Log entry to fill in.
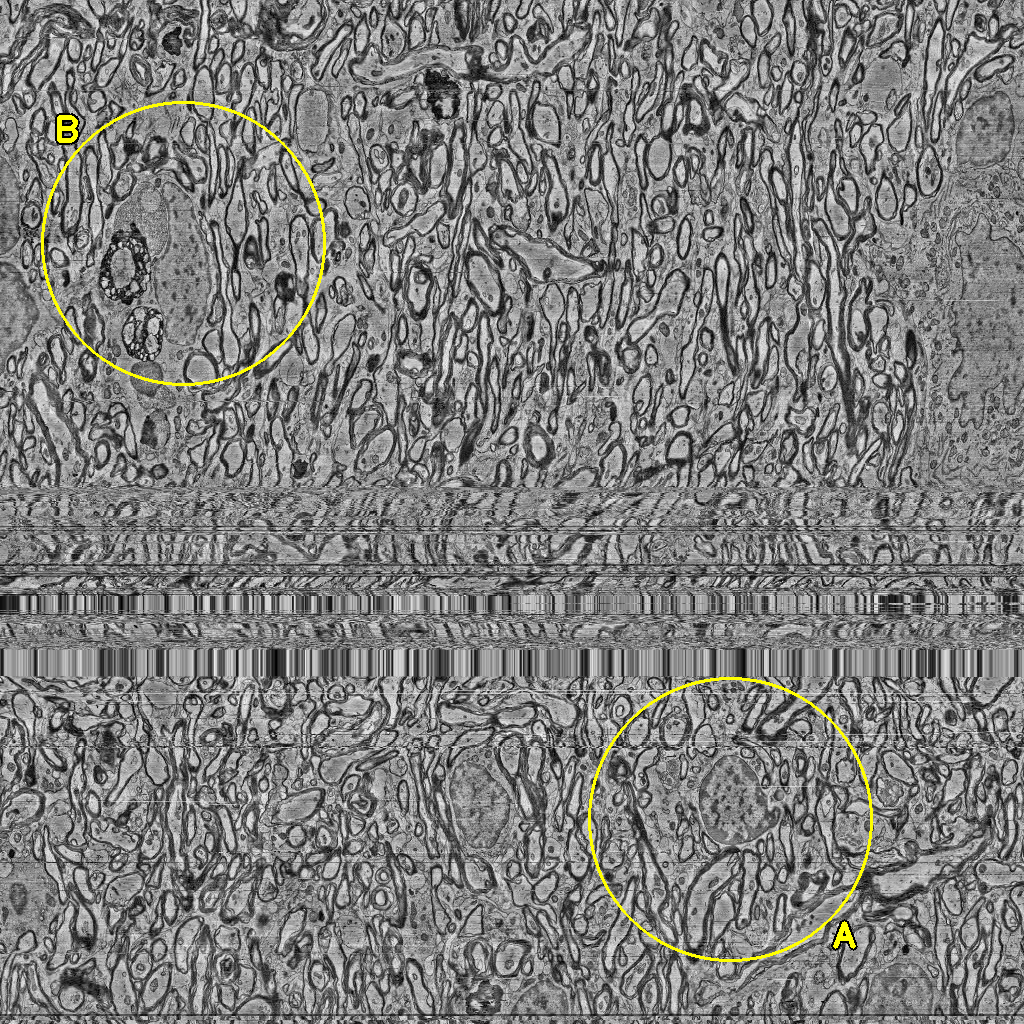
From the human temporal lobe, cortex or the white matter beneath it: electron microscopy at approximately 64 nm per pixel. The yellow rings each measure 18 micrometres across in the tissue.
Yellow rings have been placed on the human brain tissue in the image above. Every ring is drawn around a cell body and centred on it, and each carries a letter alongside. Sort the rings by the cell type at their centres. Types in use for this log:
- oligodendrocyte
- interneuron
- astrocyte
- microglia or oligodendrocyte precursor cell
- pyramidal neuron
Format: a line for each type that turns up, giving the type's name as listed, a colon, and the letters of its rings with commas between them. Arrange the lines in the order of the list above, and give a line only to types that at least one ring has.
astrocyte: B
microglia or oligodendrocyte precursor cell: A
